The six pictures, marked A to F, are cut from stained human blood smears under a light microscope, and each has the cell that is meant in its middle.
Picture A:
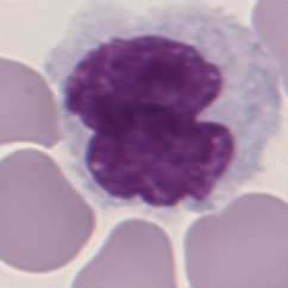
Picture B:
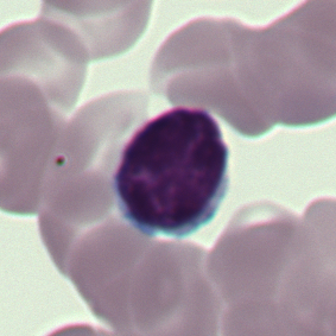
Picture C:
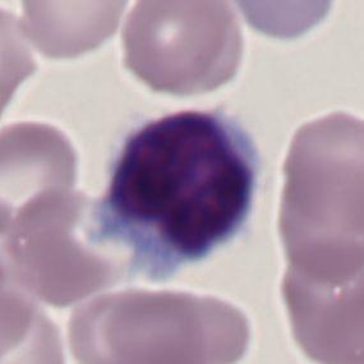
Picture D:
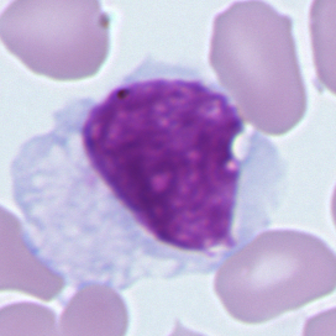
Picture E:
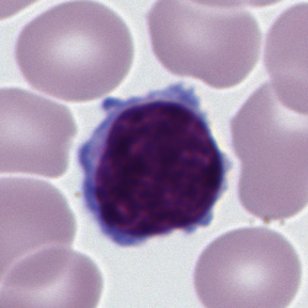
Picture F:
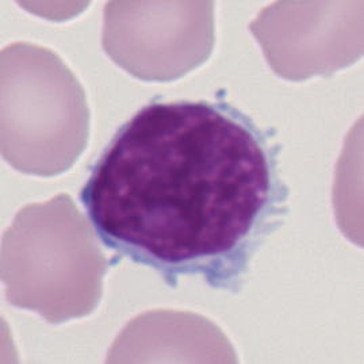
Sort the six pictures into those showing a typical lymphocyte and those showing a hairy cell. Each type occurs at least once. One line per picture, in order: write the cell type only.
hairy cell
typical lymphocyte
hairy cell
hairy cell
typical lymphocyte
hairy cell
